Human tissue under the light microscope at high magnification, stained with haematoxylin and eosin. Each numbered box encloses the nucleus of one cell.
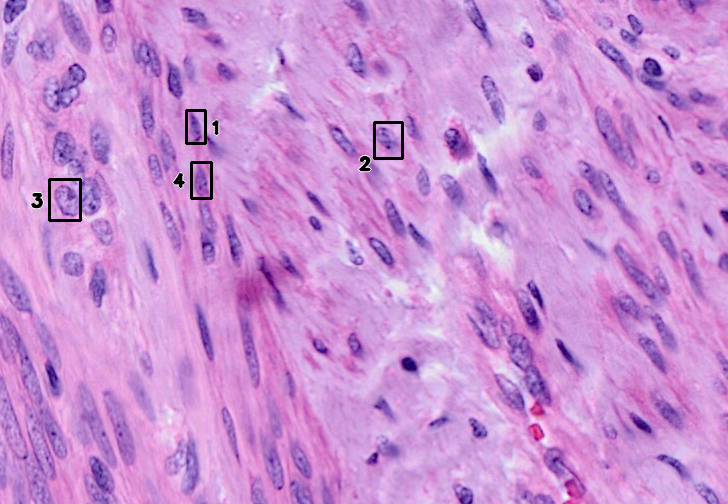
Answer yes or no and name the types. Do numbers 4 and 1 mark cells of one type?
Yes, in short, cells 4 and 1 are both smooth muscle cells.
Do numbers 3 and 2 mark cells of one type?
No, the identities are an endothelial cell for cell 3 and a smooth muscle cell for cell 2.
